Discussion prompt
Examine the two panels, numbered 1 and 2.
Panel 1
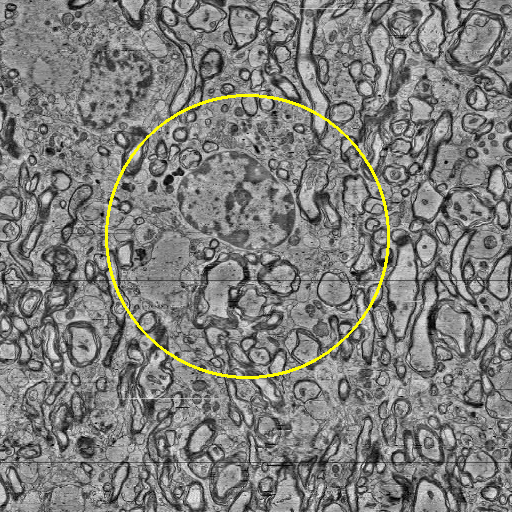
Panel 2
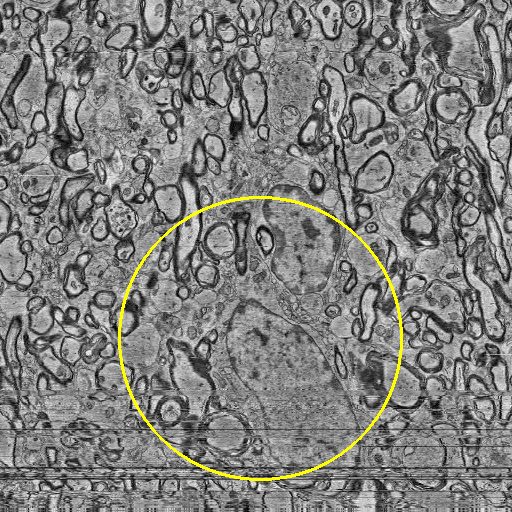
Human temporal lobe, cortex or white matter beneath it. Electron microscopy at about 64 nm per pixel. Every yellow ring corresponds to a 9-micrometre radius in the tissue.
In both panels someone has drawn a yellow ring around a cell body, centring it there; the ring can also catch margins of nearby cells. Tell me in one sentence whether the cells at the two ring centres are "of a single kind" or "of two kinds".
Taken together, the two cells centred in the rings of Panels 1 and 2 are of a single kind.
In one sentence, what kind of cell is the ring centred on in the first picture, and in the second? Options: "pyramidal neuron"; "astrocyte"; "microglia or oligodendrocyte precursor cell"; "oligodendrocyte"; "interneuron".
Each of the ringed cells, first and second, is a microglial cell or oligodendrocyte precursor cell.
